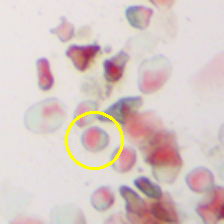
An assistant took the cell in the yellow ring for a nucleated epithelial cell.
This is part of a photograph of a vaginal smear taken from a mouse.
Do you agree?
I agree, it is a nucleated epithelial cell.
